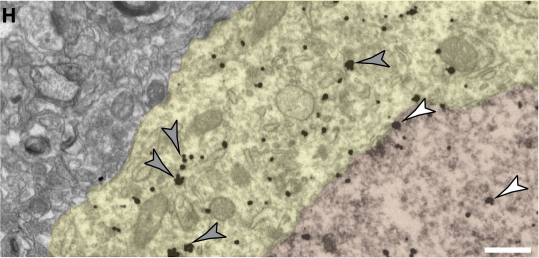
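This high-magnification electron micrograph shows part of a neuronal cell body lying between the surrounding neuropil at upper left and the nucleus at lower right. The cytoplasm holds mitochondria, membranes and many dense black particles, some in clusters. The neuropil is a dense mesh of small membrane-bound profiles and carries few such particles. A few particles also lie in the granular nucleus.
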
